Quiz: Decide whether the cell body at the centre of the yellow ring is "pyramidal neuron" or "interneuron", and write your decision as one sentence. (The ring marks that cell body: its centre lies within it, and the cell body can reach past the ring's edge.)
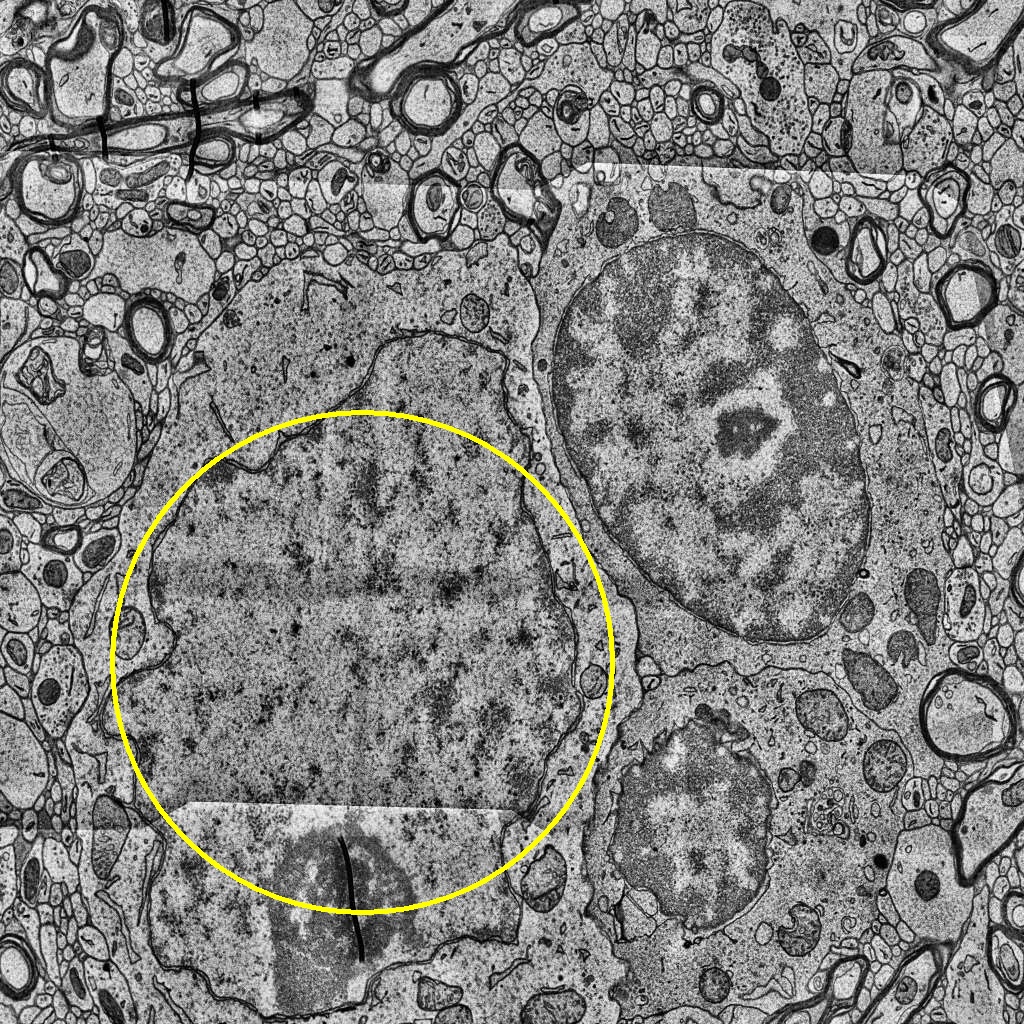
The cell holding the ring's centre is an interneuron.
